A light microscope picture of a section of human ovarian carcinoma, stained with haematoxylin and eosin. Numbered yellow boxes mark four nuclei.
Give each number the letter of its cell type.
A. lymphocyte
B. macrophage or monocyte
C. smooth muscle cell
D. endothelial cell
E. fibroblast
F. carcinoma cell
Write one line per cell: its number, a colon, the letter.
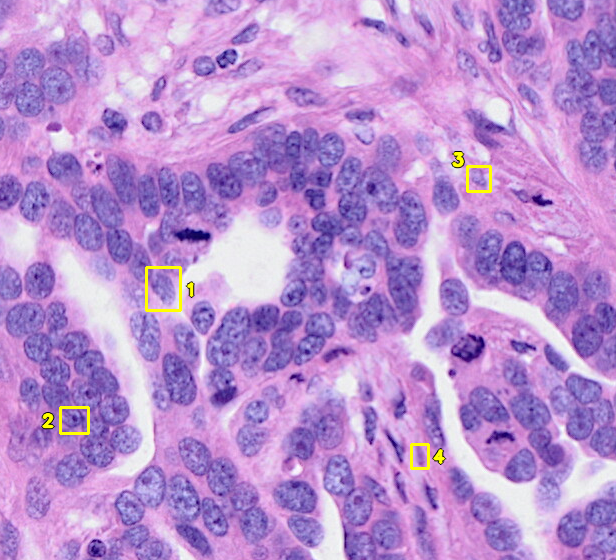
1: F
2: F
3: E
4: E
